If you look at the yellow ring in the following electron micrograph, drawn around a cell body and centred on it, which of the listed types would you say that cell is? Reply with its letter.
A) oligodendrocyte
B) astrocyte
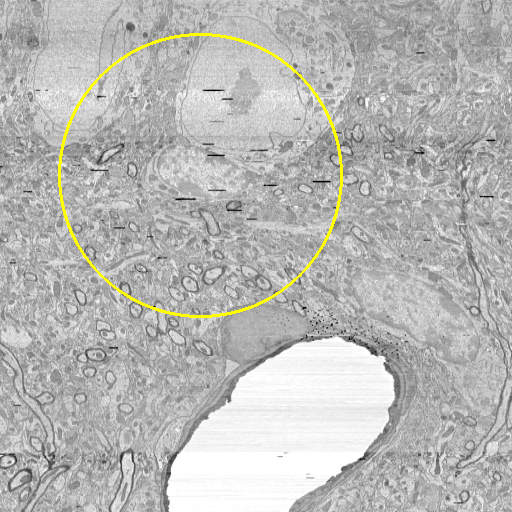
A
